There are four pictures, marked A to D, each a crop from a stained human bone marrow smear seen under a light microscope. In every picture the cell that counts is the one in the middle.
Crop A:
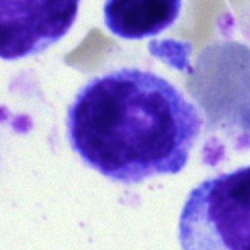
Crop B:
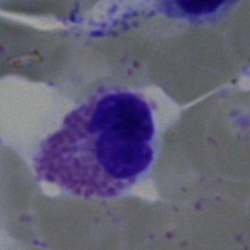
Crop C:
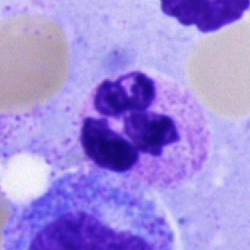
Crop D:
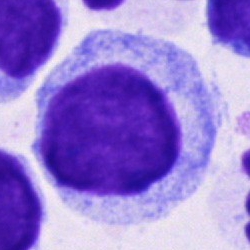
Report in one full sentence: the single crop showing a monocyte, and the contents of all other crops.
It is a monocyte that crop A shows, while crop B is an eosinophil, crop C is a neutrophil and crop D is a promyelocyte.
